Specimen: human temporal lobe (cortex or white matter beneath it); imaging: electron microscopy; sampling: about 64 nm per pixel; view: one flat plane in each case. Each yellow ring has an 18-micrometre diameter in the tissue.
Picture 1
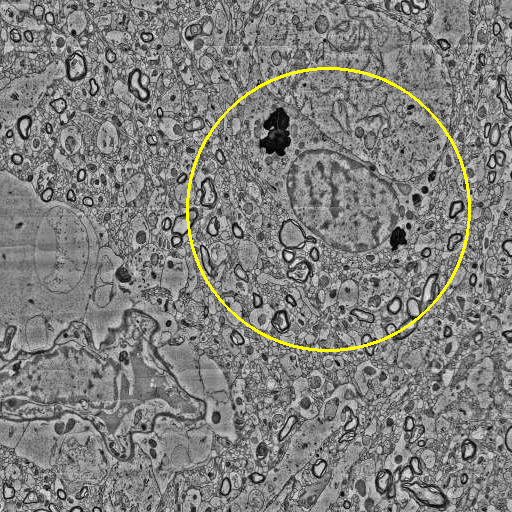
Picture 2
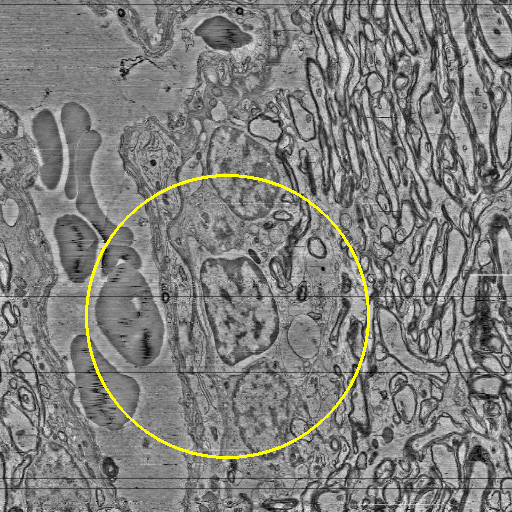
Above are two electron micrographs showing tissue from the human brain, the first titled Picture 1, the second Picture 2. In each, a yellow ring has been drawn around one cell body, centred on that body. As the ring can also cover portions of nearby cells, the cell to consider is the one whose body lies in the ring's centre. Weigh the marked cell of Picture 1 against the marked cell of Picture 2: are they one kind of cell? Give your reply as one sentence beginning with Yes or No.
No, the two cells sitting at the ring centres in the pictures are of two kinds.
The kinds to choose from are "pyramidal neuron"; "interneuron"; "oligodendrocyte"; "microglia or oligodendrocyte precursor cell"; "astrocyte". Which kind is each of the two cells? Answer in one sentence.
Of the two, the first cell is an oligodendrocyte and the second cell is a microglial cell or oligodendrocyte precursor cell.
